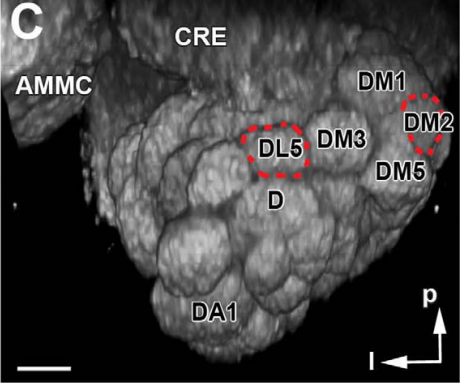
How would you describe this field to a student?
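This is a volume-rendered view of the fly antennal lobe, which is built up of many rounded, bulging neuropil units, the glomeruli, packed tightly against one another. The glomeruli differ in size and shape, and the lobe as a whole forms a rounded mass with a larger, more diffuse neuropil region lying beside it at the upper left.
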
